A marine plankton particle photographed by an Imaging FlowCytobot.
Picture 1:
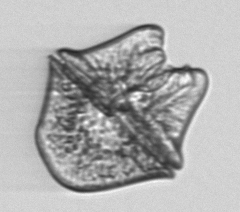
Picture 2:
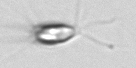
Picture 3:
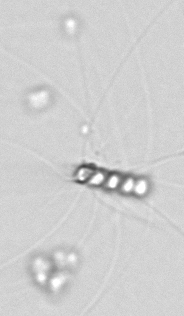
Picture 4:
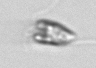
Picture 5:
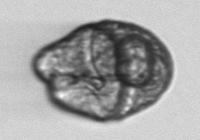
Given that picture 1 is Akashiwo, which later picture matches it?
5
